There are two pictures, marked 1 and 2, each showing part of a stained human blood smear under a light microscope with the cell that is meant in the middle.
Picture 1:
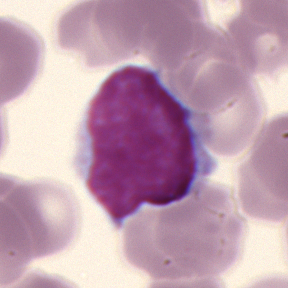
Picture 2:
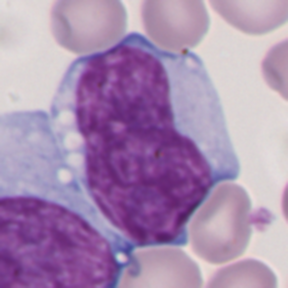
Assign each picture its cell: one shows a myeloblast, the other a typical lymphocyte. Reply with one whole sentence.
It is picture 1 that shows a typical lymphocyte, and picture 2 that shows a myeloblast.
